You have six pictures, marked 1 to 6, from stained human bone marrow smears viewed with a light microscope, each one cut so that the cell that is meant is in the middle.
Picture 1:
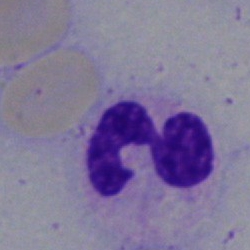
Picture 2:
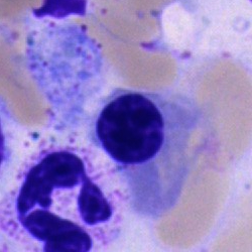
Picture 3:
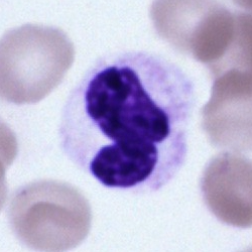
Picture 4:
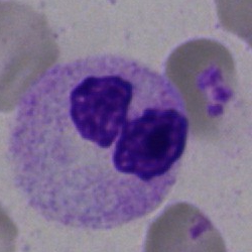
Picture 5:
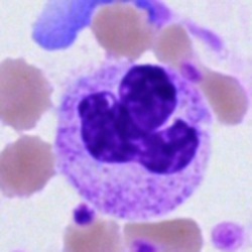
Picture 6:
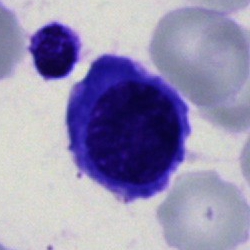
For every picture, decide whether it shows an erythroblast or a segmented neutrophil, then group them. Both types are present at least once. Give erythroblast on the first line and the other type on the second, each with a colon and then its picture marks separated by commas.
erythroblast: 2, 6
segmented neutrophil: 1, 3, 4, 5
